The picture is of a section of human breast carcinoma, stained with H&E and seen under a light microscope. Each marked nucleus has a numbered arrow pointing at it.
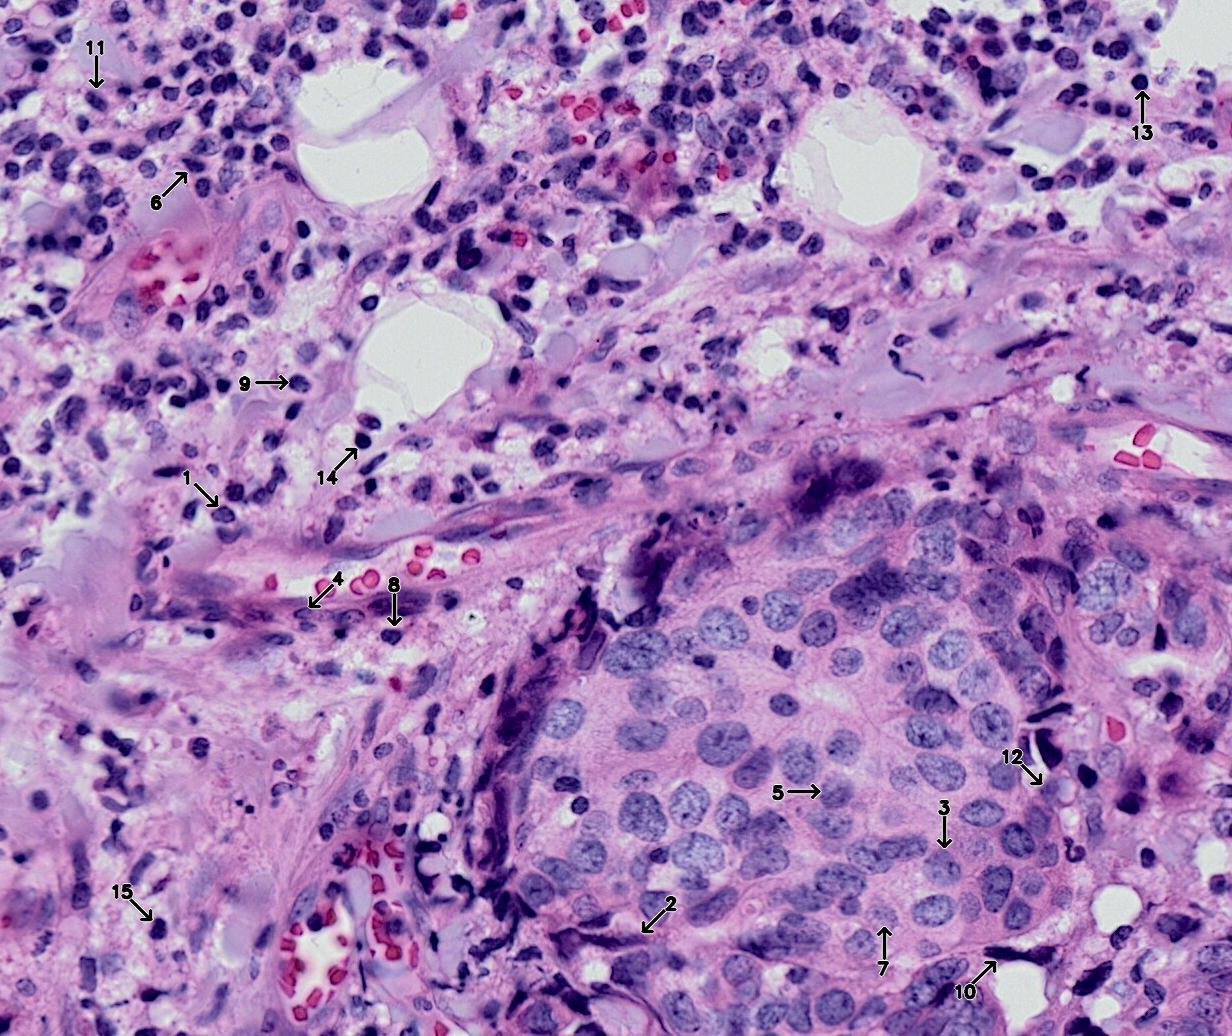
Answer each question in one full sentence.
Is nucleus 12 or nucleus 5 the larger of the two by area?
Nucleus 5 covers more area, about 2.5 times as much as nucleus 12.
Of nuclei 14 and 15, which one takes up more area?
Nucleus 15 covers more area, about 1.5 times as much as nucleus 14.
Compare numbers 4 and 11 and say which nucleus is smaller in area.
It is nucleus 4; nucleus 11 has about 2 times its area.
